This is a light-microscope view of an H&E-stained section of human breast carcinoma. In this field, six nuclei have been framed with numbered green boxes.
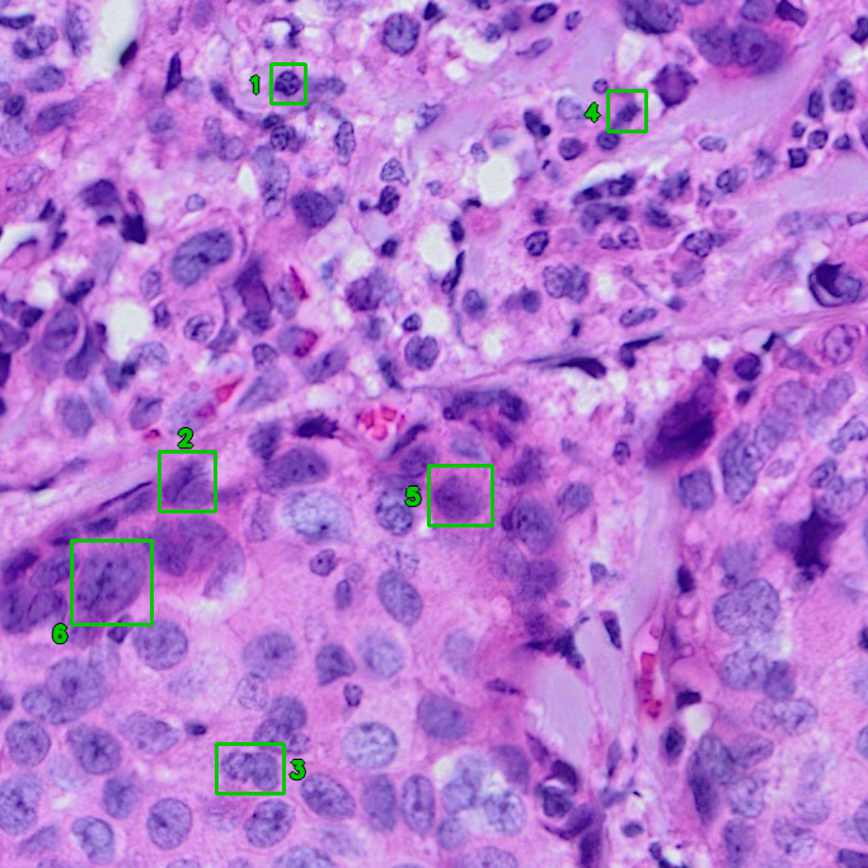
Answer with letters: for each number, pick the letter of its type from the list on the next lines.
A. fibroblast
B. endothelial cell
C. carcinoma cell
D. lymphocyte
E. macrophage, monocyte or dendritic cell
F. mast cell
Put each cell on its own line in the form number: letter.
1: D
2: C
3: C
4: D
5: C
6: C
